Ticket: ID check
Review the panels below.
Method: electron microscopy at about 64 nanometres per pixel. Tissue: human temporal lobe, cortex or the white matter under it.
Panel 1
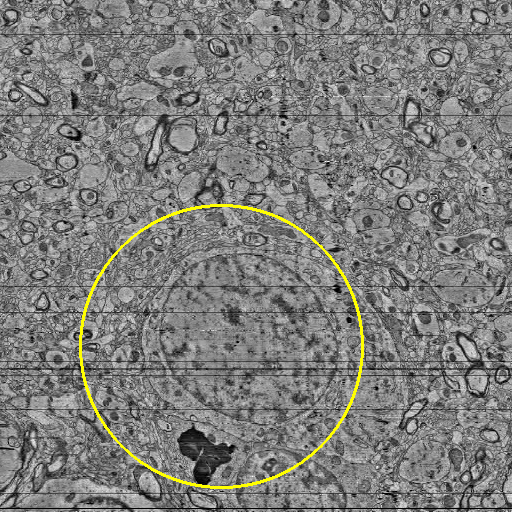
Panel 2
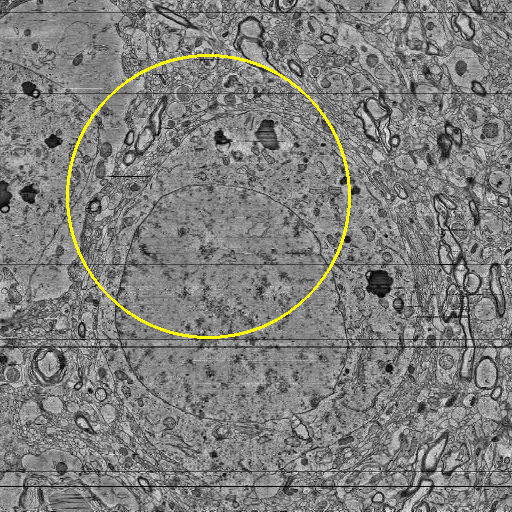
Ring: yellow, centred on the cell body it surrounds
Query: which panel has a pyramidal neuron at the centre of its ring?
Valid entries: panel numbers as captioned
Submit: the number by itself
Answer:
2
